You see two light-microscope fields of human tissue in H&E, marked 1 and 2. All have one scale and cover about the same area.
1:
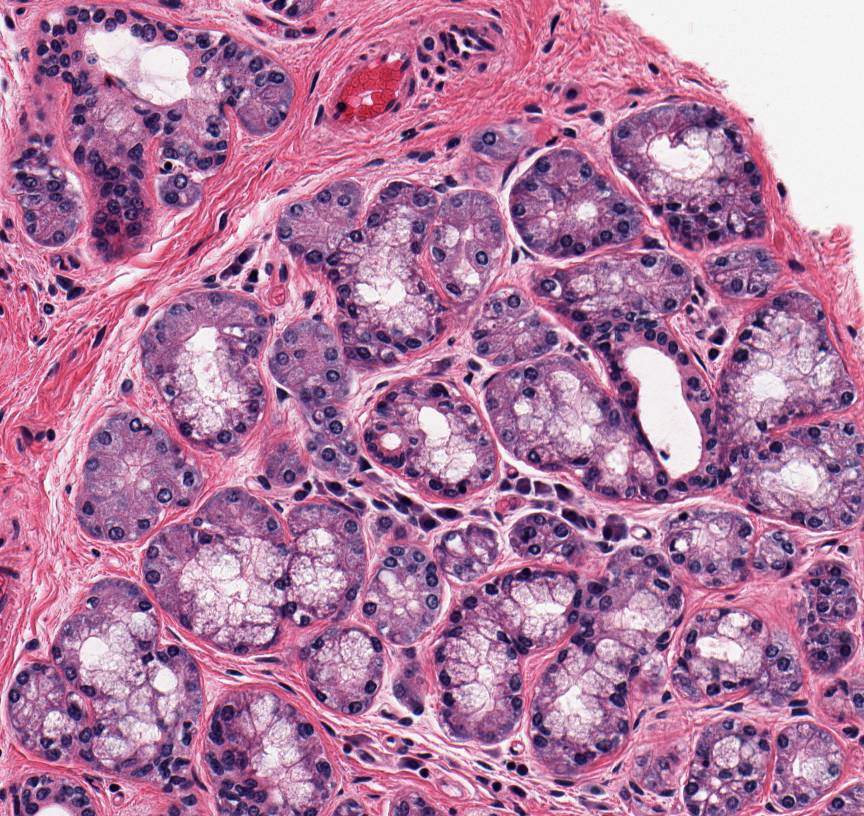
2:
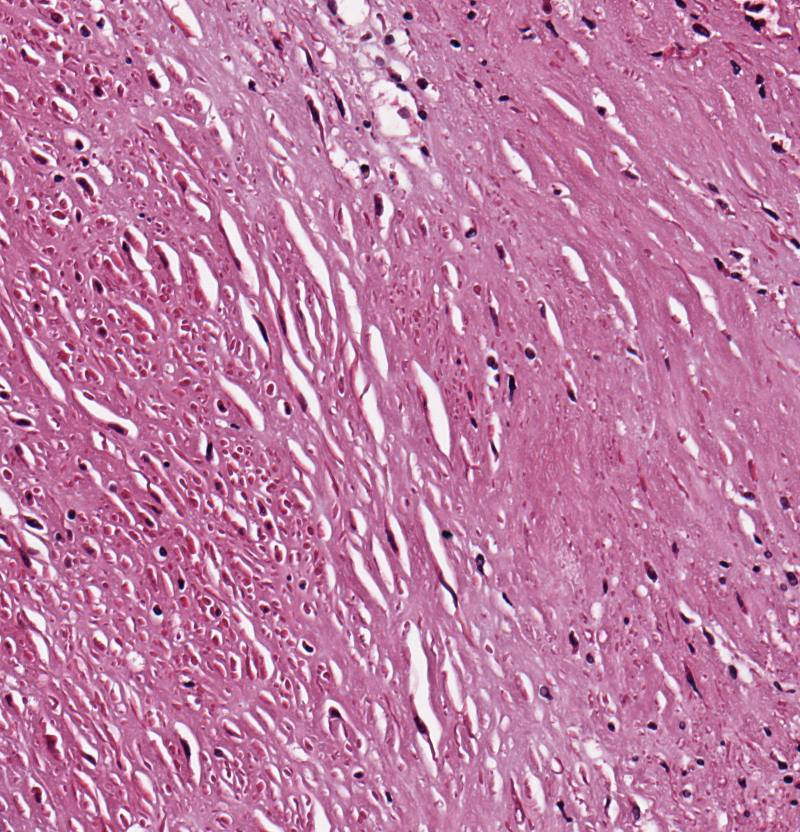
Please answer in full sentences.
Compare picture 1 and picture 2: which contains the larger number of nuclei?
There are more nuclei in picture 1.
